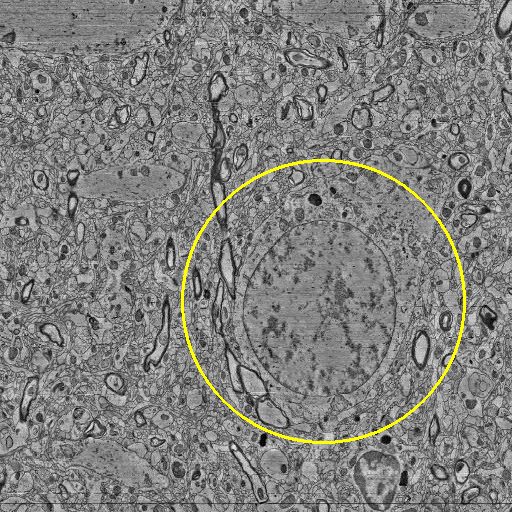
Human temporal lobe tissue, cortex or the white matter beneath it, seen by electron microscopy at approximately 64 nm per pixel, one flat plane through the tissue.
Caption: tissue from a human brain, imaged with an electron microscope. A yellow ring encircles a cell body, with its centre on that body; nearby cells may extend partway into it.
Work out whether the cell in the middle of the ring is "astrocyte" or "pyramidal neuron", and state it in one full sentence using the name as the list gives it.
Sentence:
In the picture, the cell that the yellow ring surrounds at its centre is a pyramidal neuron.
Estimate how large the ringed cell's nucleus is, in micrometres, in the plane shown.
In this plane, roughly 12 by 10 micrometres.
